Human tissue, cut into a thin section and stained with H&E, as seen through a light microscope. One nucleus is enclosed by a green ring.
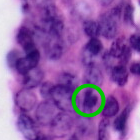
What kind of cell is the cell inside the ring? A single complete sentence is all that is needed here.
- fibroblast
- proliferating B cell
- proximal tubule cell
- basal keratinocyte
In this section, the cell inside the ring is a proliferating B cell.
